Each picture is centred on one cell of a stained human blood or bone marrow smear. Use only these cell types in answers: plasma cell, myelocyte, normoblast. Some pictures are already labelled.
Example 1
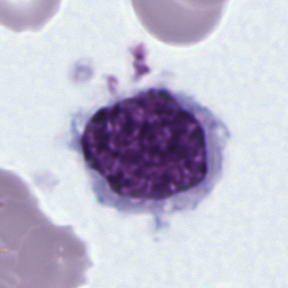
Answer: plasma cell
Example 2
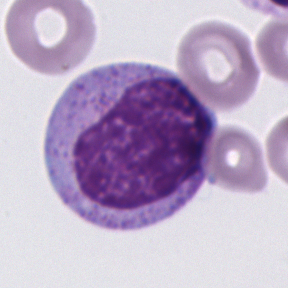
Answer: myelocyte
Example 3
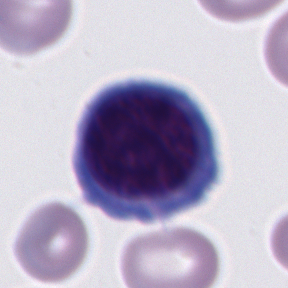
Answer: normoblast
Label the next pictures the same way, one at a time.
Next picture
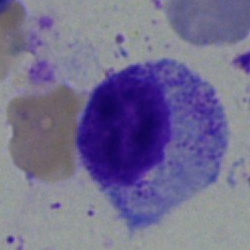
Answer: myelocyte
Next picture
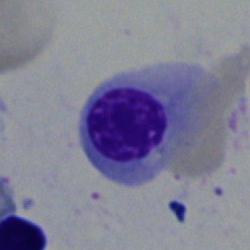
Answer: normoblast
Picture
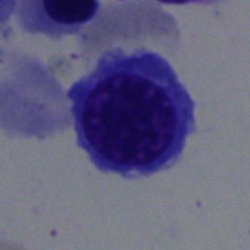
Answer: normoblast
